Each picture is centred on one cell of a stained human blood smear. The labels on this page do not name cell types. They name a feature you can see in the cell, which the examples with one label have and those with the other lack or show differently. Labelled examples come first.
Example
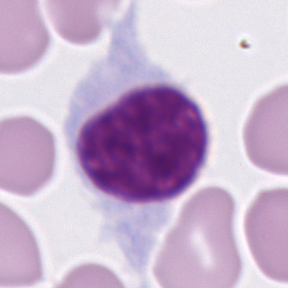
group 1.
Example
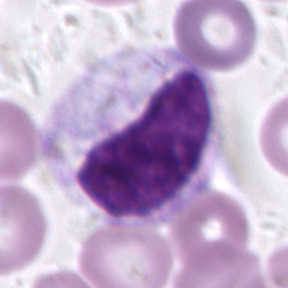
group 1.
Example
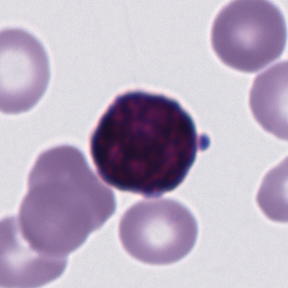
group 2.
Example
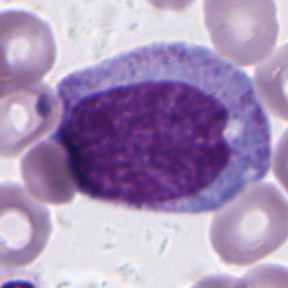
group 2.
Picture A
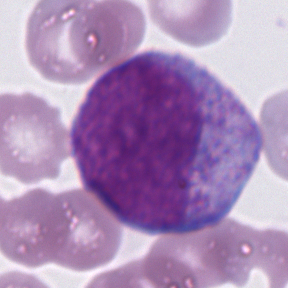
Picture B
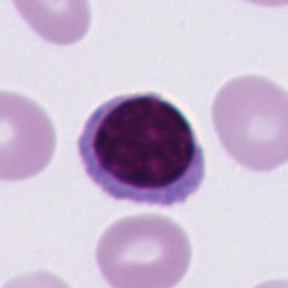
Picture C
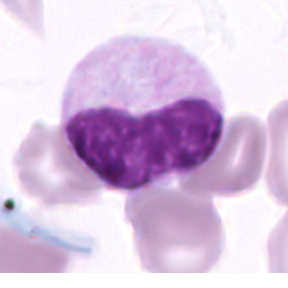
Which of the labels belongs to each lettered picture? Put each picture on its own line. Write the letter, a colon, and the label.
A: group 1.
B: group 2.
C: group 1.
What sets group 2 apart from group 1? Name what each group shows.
In group 2: scant cytoplasm. In group 1: abundant cytoplasm.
